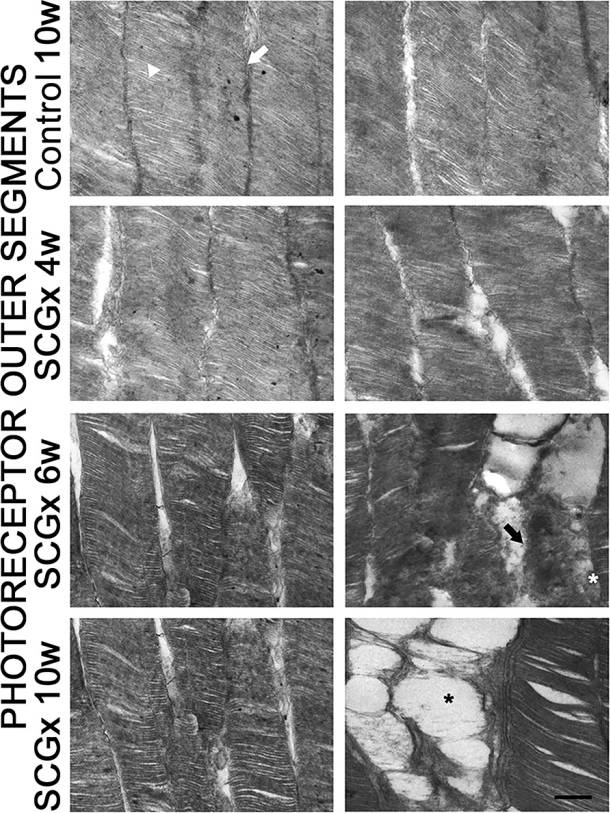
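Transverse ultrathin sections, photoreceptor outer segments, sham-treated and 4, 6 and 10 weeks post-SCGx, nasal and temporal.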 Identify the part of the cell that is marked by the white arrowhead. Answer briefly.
discs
